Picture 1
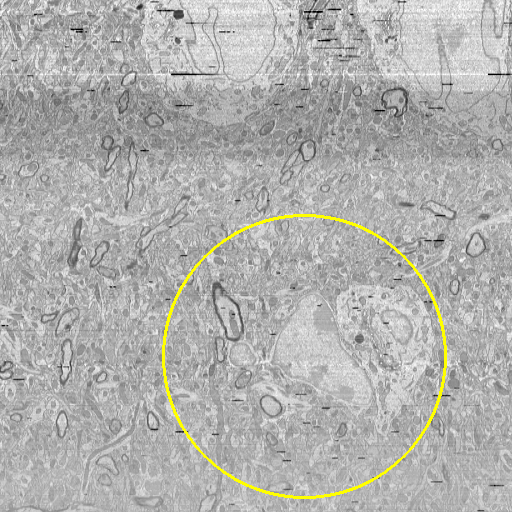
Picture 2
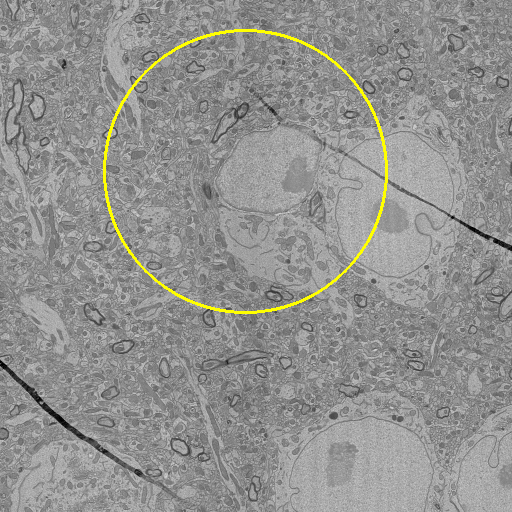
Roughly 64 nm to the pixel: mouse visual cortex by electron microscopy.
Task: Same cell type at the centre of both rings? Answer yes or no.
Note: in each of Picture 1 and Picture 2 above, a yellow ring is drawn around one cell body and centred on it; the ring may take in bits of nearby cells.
yes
